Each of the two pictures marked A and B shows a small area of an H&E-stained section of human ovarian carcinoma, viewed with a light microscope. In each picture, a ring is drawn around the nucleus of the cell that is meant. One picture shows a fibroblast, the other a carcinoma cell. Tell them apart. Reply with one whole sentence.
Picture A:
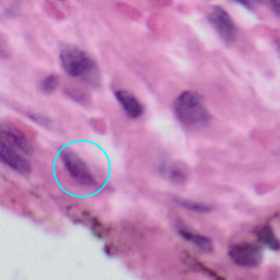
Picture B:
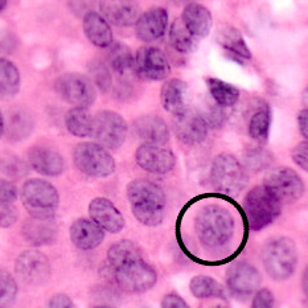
Picture A shows a fibroblast and picture B shows a carcinoma cell.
